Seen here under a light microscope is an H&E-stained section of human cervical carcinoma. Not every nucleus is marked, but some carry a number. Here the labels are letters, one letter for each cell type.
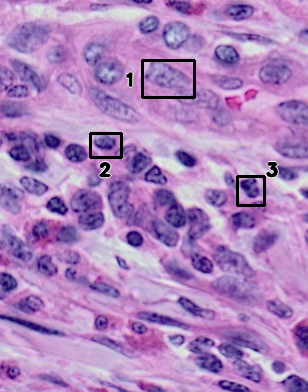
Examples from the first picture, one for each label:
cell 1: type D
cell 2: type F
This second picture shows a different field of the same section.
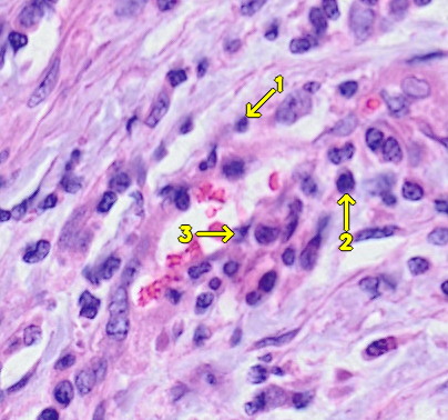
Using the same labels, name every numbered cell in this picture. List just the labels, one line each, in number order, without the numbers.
type F
type F
type D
